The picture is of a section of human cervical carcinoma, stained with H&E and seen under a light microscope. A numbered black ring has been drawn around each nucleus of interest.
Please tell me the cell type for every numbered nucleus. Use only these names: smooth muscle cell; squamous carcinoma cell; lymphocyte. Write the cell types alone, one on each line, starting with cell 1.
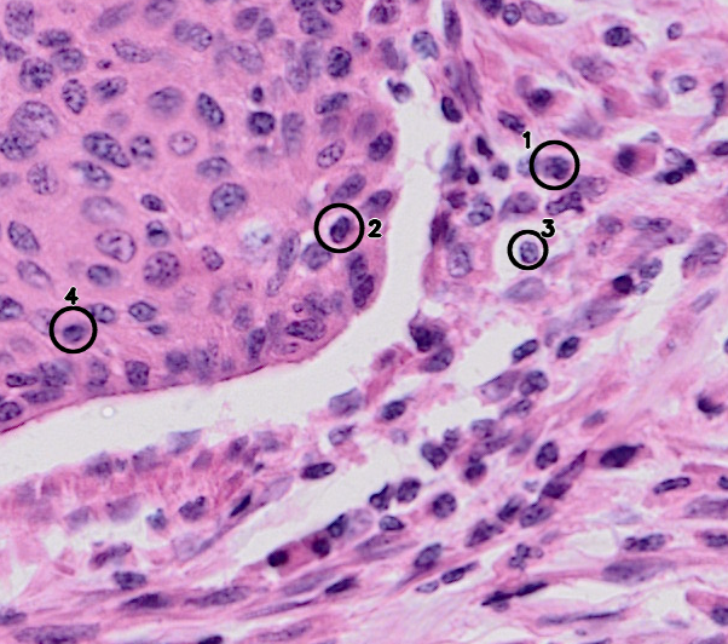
lymphocyte
lymphocyte
lymphocyte
squamous carcinoma cell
